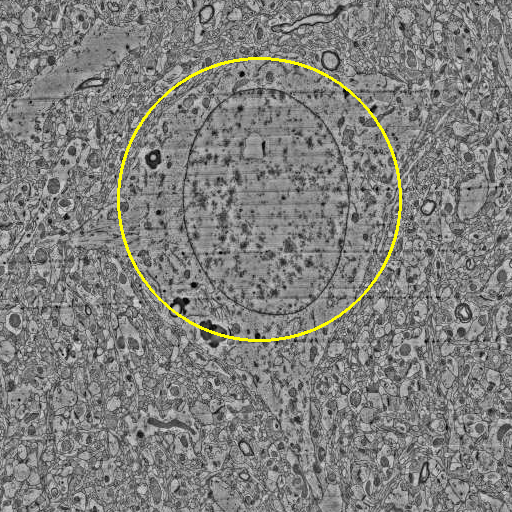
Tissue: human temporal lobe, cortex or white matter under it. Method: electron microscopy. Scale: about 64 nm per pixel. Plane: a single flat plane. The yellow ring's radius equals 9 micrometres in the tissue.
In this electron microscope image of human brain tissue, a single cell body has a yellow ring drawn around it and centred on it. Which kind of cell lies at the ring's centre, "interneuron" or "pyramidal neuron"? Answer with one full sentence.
It is a pyramidal neuron whose cell body lies at the centre of the yellow ring here.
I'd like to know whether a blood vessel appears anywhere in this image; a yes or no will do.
No, no vessel shows anywhere in the image.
